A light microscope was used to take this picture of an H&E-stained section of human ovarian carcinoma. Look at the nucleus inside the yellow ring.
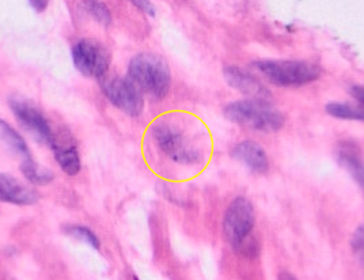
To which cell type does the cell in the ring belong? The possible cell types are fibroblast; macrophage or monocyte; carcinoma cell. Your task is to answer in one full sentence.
By cell type, the cell in the ring is a fibroblast.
